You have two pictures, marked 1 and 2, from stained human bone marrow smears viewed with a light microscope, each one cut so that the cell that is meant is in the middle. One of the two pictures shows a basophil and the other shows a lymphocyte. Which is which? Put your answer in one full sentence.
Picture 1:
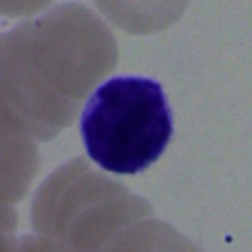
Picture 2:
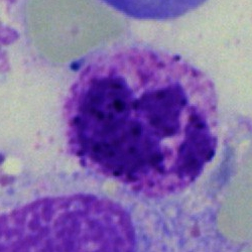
Picture 2 shows a basophil, while picture 1 shows a lymphocyte.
